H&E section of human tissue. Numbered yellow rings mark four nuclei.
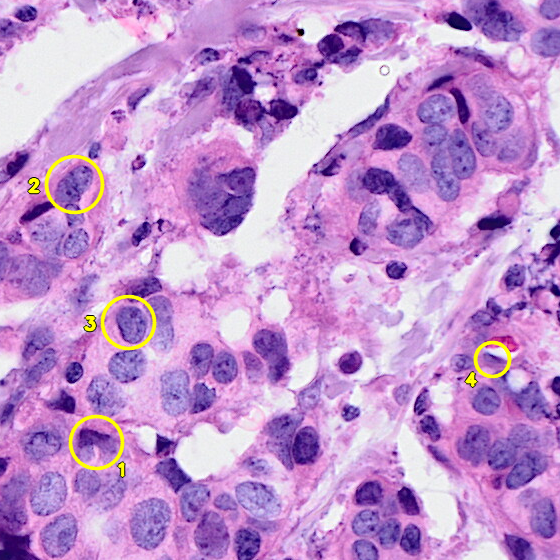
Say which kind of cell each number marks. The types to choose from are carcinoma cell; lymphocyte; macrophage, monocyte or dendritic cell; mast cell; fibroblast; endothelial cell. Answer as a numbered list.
1. carcinoma cell
2. carcinoma cell
3. carcinoma cell
4. endothelial cell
